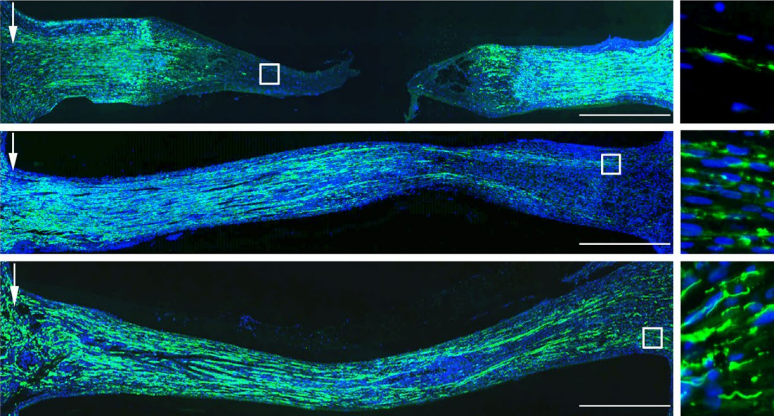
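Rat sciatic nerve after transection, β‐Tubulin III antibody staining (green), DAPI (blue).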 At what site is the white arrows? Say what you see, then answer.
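The white arrows point at the left end of each strip of nerve tissue.
The edge of the proximal stump.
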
